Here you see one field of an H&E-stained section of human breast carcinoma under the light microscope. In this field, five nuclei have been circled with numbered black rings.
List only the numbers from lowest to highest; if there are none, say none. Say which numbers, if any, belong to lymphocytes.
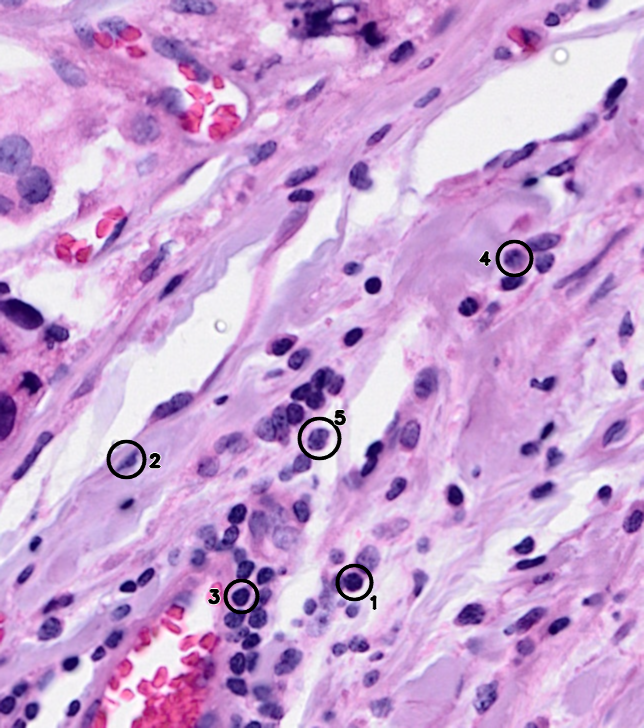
1, 3, 5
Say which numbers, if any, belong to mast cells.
4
